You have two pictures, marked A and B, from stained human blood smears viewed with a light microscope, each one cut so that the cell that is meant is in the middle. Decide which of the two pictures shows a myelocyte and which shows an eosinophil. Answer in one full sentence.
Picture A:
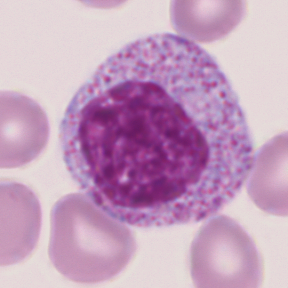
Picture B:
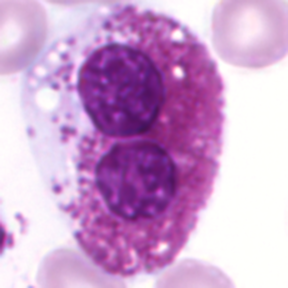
It is picture A that shows a myelocyte, and picture B that shows an eosinophil.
